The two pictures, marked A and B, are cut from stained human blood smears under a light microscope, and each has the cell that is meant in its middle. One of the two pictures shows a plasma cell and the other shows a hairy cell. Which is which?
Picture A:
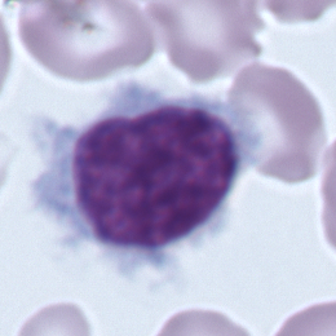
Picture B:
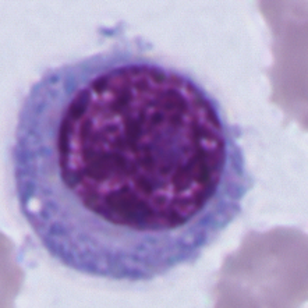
A: hairy cell
B: plasma cell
